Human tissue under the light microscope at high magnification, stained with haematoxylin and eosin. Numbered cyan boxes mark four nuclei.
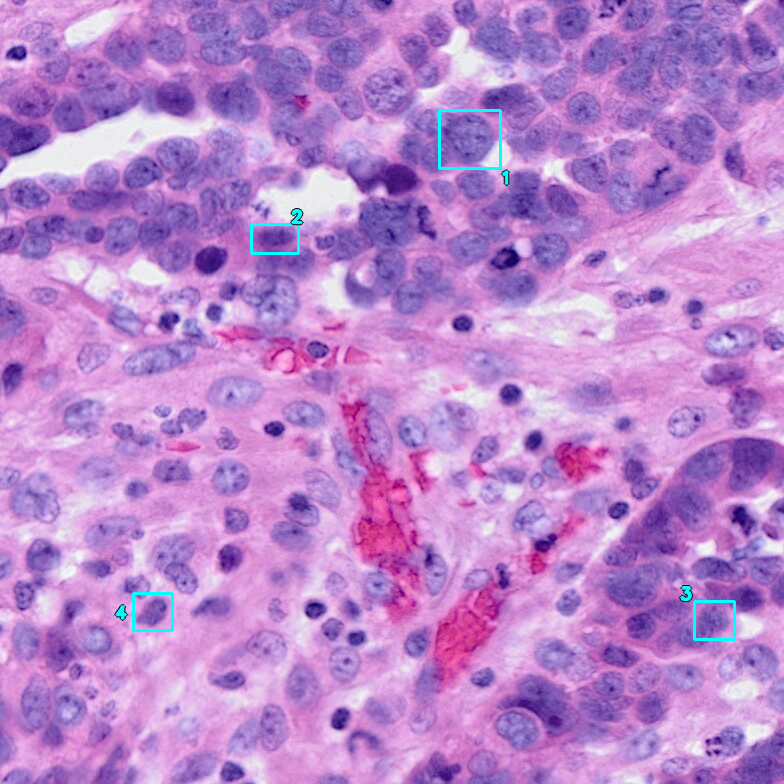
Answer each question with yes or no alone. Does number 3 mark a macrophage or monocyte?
no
